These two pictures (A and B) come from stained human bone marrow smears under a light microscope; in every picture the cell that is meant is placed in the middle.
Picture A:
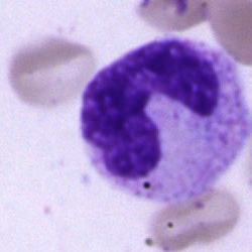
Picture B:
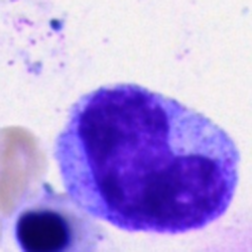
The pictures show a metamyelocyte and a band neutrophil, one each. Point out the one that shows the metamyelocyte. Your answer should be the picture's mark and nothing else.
B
